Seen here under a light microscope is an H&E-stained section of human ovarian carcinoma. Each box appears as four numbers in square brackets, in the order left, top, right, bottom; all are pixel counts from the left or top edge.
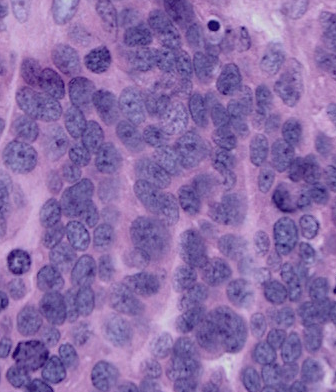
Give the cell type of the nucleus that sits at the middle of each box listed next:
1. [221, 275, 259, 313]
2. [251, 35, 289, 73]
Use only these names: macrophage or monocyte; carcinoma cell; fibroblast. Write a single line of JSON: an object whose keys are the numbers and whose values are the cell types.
{"1": "carcinoma cell", "2": "fibroblast"}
